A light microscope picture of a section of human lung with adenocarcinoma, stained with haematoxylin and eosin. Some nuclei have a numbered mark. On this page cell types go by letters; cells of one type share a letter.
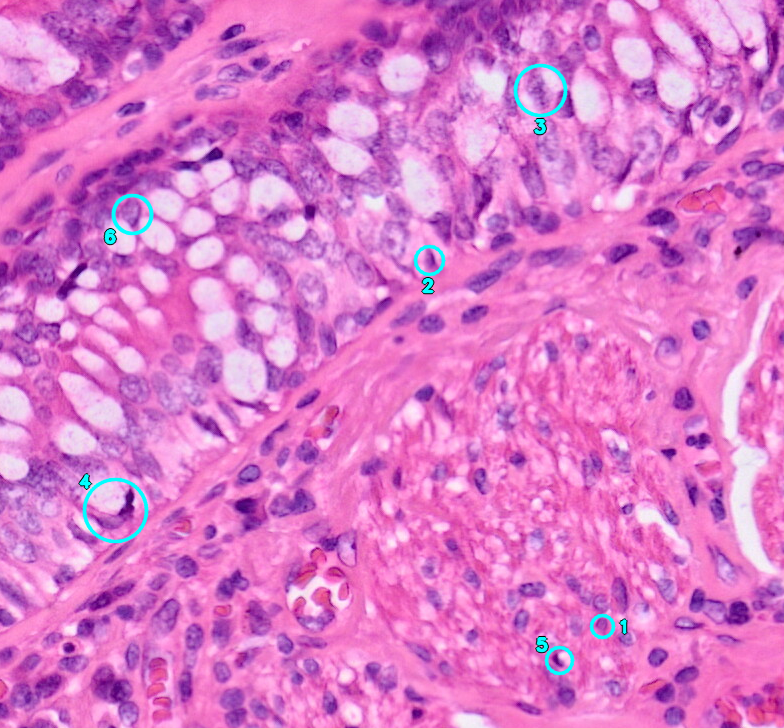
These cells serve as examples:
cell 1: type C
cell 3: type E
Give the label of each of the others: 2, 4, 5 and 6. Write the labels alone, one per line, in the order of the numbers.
type E
type E
type C
type E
